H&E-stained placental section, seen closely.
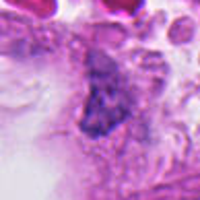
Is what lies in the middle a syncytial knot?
No, it is a cytotrophoblast.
